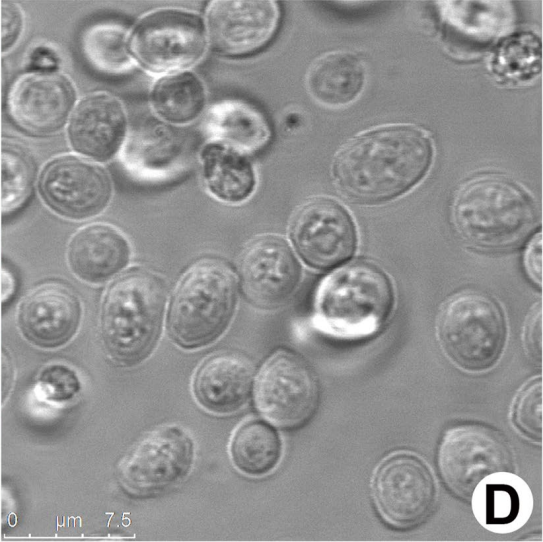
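This field shows yeast cells by phase contrast, mostly lying apart from each other with a few touching in small groups. The cytoplasm appears granular with small dark inclusions scattered inside. A few cells appear as bright halos or darker, more compact bodies, probably lying in a different focal plane.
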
